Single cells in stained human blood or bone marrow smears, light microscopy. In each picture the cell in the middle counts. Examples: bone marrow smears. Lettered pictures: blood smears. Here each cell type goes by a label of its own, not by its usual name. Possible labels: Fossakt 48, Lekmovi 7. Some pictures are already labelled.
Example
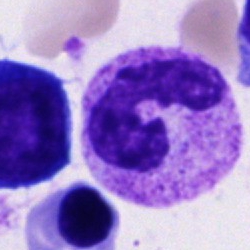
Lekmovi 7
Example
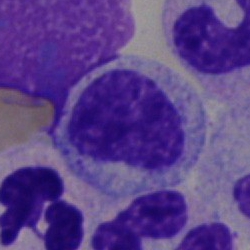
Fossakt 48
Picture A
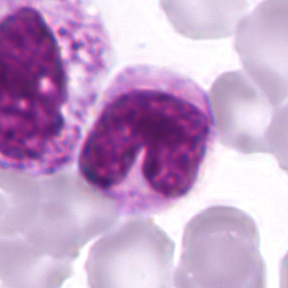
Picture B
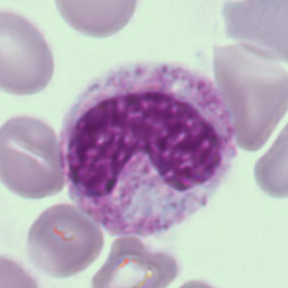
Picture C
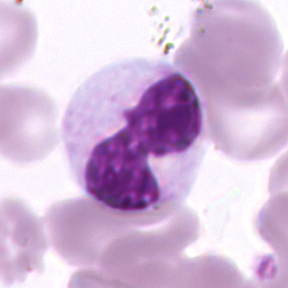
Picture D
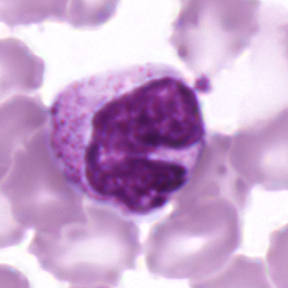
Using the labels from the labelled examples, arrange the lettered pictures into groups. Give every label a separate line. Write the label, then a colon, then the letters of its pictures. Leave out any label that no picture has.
Lekmovi 7: A, B, C, D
